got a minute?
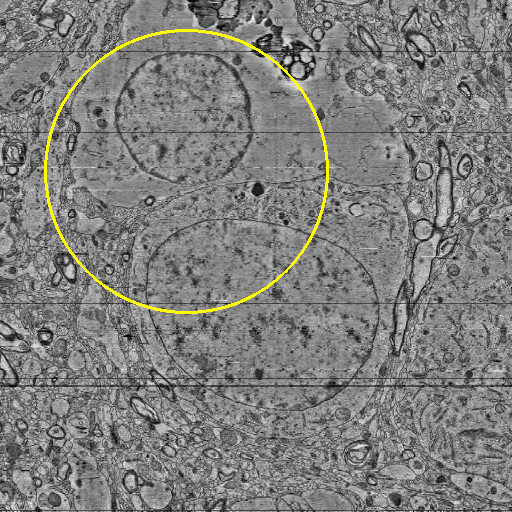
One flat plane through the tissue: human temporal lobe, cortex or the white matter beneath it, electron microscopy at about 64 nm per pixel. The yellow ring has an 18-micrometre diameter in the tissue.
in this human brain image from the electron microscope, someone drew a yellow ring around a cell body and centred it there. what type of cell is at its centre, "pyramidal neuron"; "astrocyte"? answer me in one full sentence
It's an astrocyte at the middle of that yellow ring in the shot.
